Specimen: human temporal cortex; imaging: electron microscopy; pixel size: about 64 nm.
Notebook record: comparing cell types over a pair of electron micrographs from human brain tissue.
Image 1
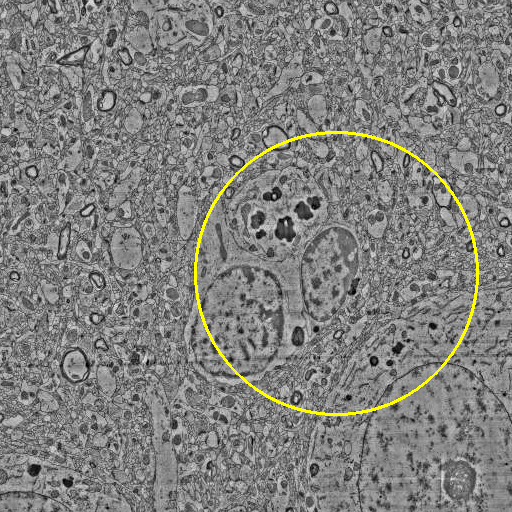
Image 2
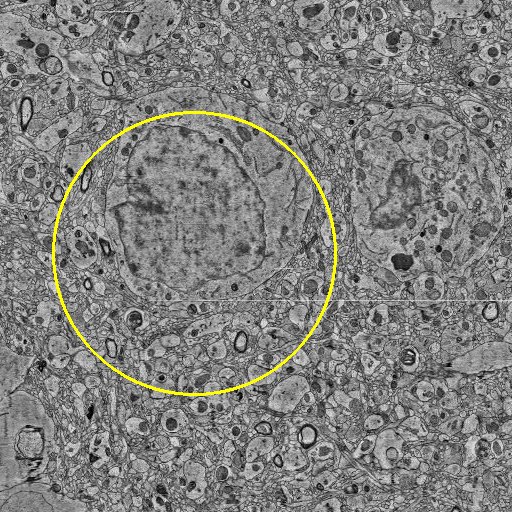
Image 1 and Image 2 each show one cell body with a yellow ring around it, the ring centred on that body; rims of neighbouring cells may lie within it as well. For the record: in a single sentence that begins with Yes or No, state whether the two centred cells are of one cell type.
No, two cell types are found among the centred cells of Image 1 and Image 2.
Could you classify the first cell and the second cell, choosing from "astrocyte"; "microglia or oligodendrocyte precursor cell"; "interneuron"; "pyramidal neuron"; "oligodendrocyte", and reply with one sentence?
The second cell is an interneuron, while the first is a microglial cell or oligodendrocyte precursor cell.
